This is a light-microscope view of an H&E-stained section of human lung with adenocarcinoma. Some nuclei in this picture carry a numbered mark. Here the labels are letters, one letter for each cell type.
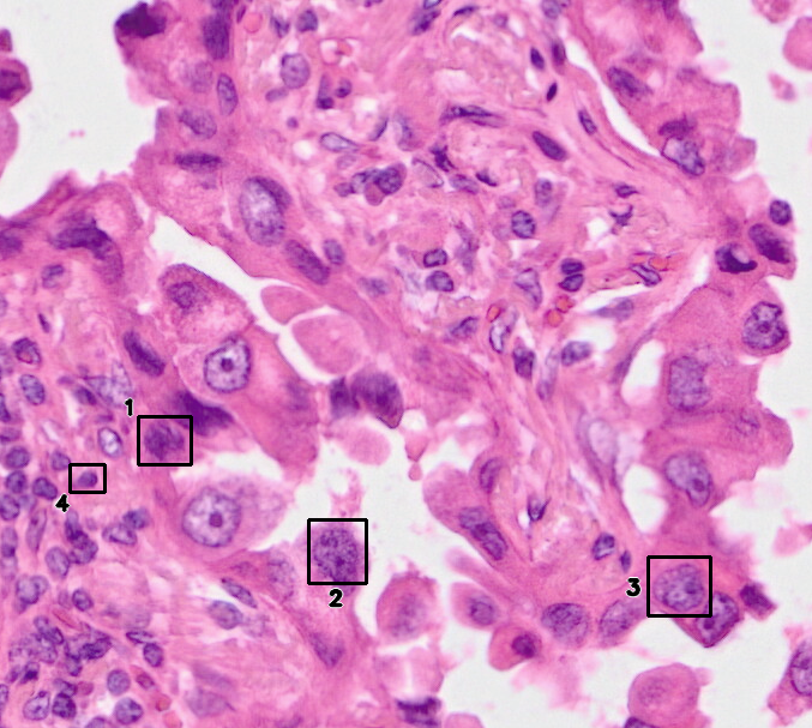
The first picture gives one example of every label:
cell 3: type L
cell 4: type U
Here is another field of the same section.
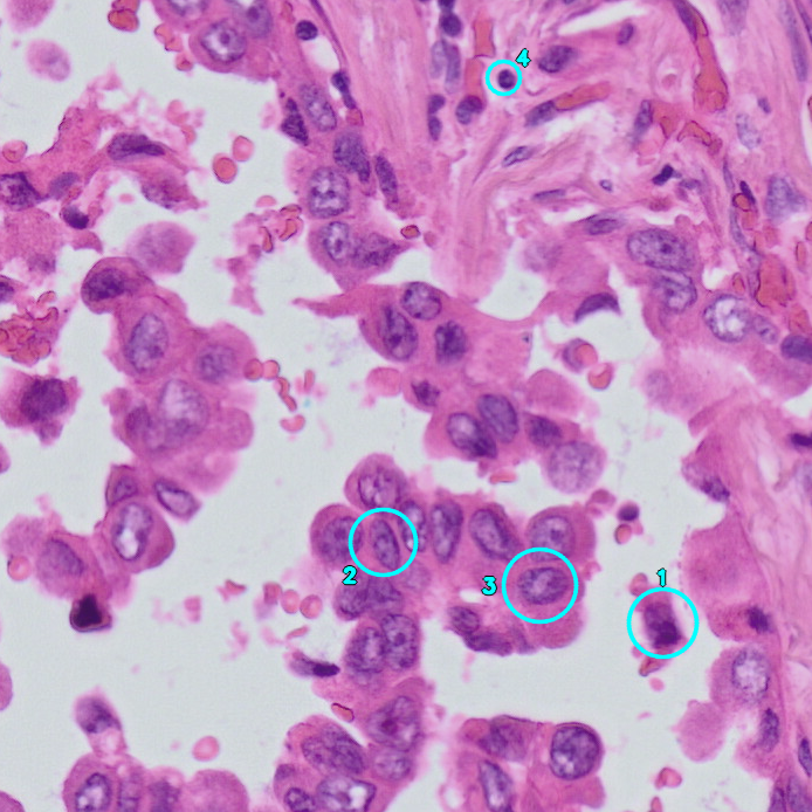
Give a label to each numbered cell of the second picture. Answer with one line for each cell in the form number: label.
1: type L
2: type L
3: type L
4: type U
